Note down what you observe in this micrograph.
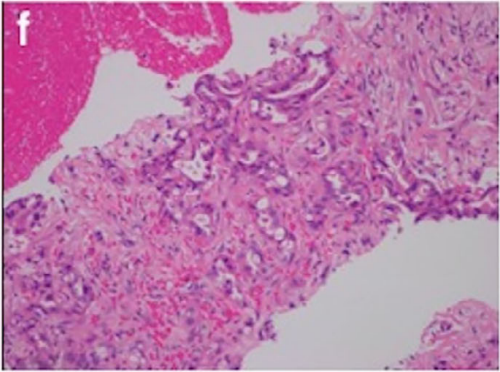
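This core of tissue shows an adenocarcinoma: small, irregular, angulated glands lined by atypical epithelial cells lie scattered in a pink fibrous stroma. The lining cells have enlarged, dark purple, crowded nuclei of uneven size and shape, and many glands have only small, slit-like or round lumens. The glands are haphazardly arranged rather than forming an orderly pattern. Between them, the stroma is made of pale pink collagen with spindle-shaped nuclei. Pools of red blood cells fill the upper left corner, and clear spaces separate the tissue fragments from one another.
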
